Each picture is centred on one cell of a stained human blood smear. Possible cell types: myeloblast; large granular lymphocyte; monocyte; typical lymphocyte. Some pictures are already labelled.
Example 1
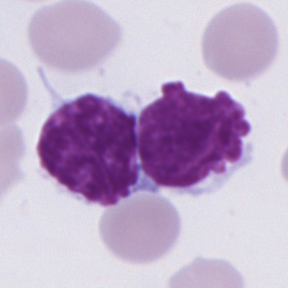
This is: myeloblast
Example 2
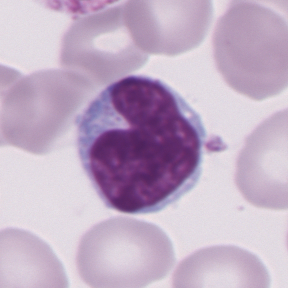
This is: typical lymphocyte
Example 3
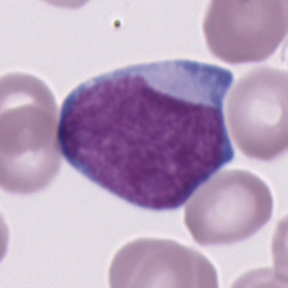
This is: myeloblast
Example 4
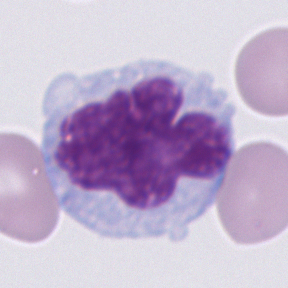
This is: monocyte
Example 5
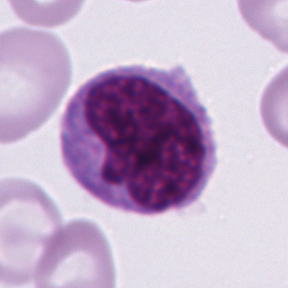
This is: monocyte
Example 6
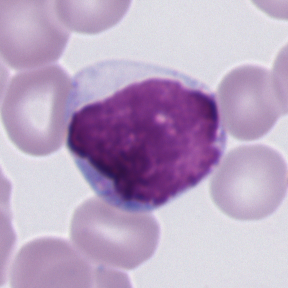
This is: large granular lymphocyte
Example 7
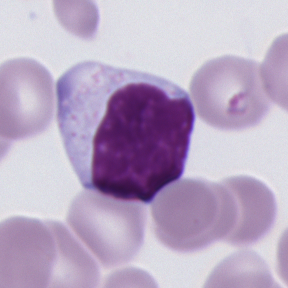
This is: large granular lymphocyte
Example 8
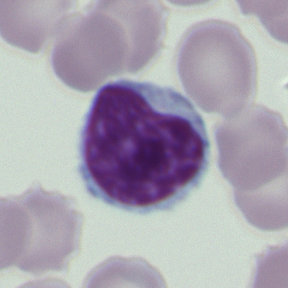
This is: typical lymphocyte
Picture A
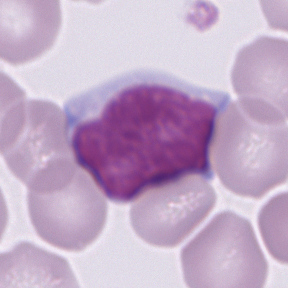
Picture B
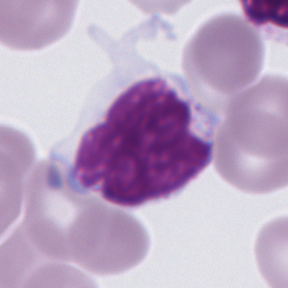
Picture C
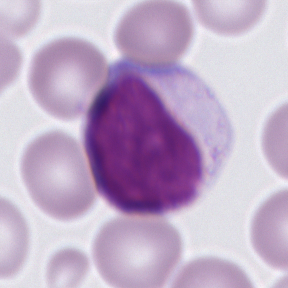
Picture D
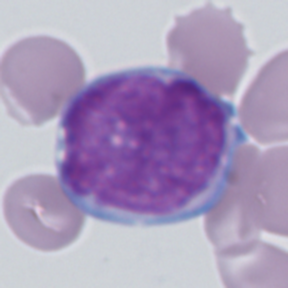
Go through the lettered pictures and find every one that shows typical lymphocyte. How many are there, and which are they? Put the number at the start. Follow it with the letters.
1: A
